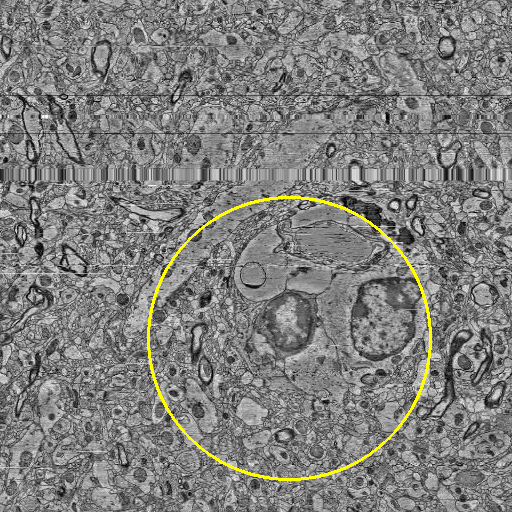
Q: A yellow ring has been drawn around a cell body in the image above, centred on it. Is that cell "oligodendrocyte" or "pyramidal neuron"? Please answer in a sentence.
The ring surrounds the cell body of an oligodendrocyte.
